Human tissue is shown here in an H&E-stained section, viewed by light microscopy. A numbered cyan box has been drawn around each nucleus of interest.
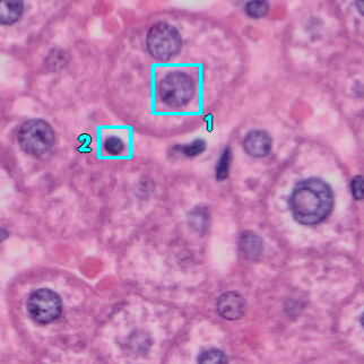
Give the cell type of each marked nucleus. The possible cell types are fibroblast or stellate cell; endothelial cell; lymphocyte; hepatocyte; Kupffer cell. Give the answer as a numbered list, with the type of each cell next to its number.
1. hepatocyte
2. lymphocyte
